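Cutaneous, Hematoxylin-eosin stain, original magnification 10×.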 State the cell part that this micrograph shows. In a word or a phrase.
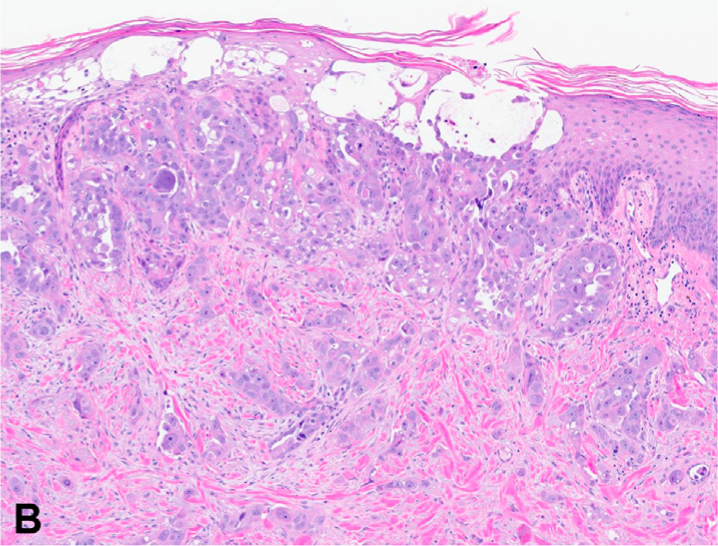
Prominent nucleoli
